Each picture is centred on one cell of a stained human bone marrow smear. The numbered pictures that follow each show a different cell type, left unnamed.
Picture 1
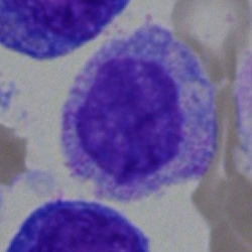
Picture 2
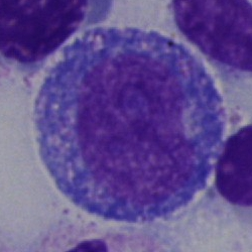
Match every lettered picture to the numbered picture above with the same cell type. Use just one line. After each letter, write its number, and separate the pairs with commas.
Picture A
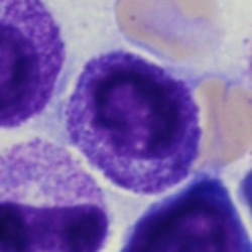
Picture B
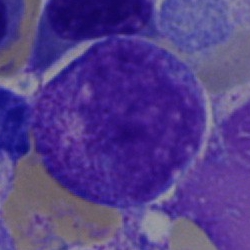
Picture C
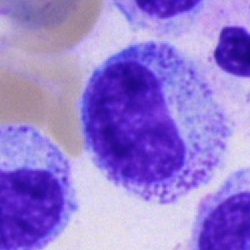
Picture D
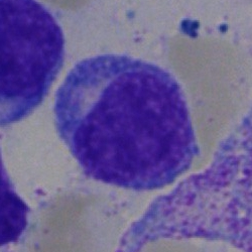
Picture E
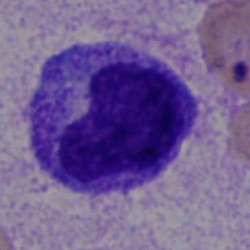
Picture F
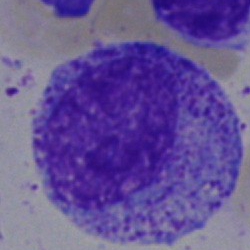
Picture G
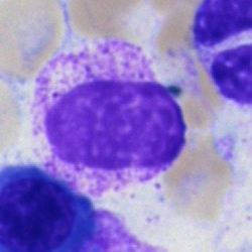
A 1, B 2, C 1, D 1, E 1, F 2, G 1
